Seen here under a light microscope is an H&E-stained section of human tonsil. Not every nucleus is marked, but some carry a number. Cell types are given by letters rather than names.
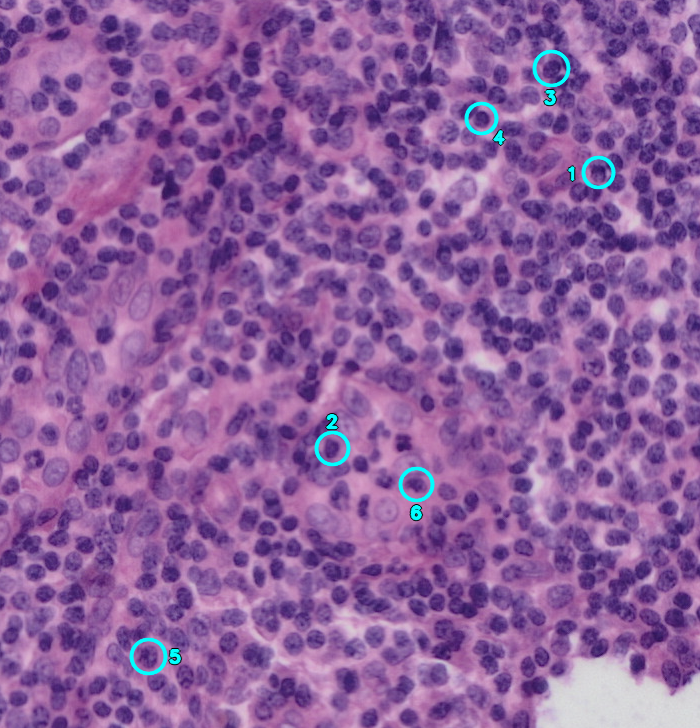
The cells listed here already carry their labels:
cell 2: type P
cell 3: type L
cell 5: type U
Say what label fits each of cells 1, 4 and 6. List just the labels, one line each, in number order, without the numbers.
type L
type L
type P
